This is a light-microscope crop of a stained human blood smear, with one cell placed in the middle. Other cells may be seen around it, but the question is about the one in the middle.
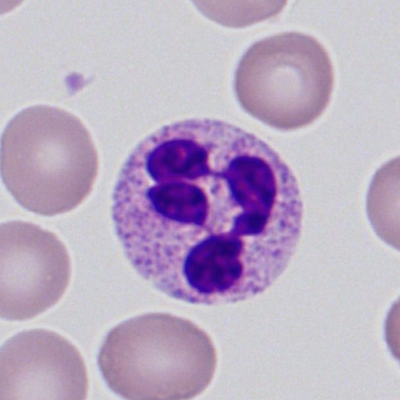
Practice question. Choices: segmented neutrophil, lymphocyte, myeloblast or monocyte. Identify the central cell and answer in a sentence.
For this crop, the central cell is a segmented neutrophil.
